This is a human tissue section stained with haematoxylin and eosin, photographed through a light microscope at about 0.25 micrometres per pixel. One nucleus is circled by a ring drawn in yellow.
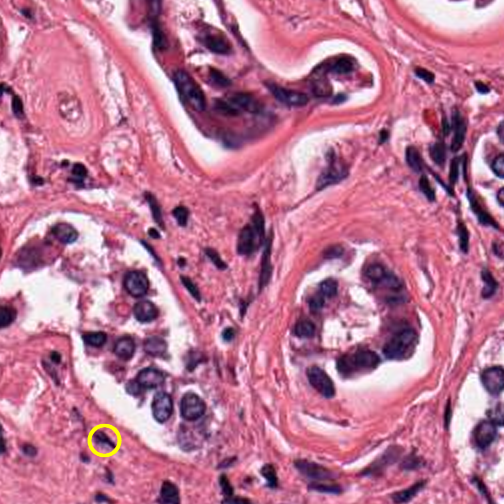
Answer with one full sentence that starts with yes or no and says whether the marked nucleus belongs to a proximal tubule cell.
No, the marked nucleus sits in a supporting cell; a proximal tubule cell does not contain it.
